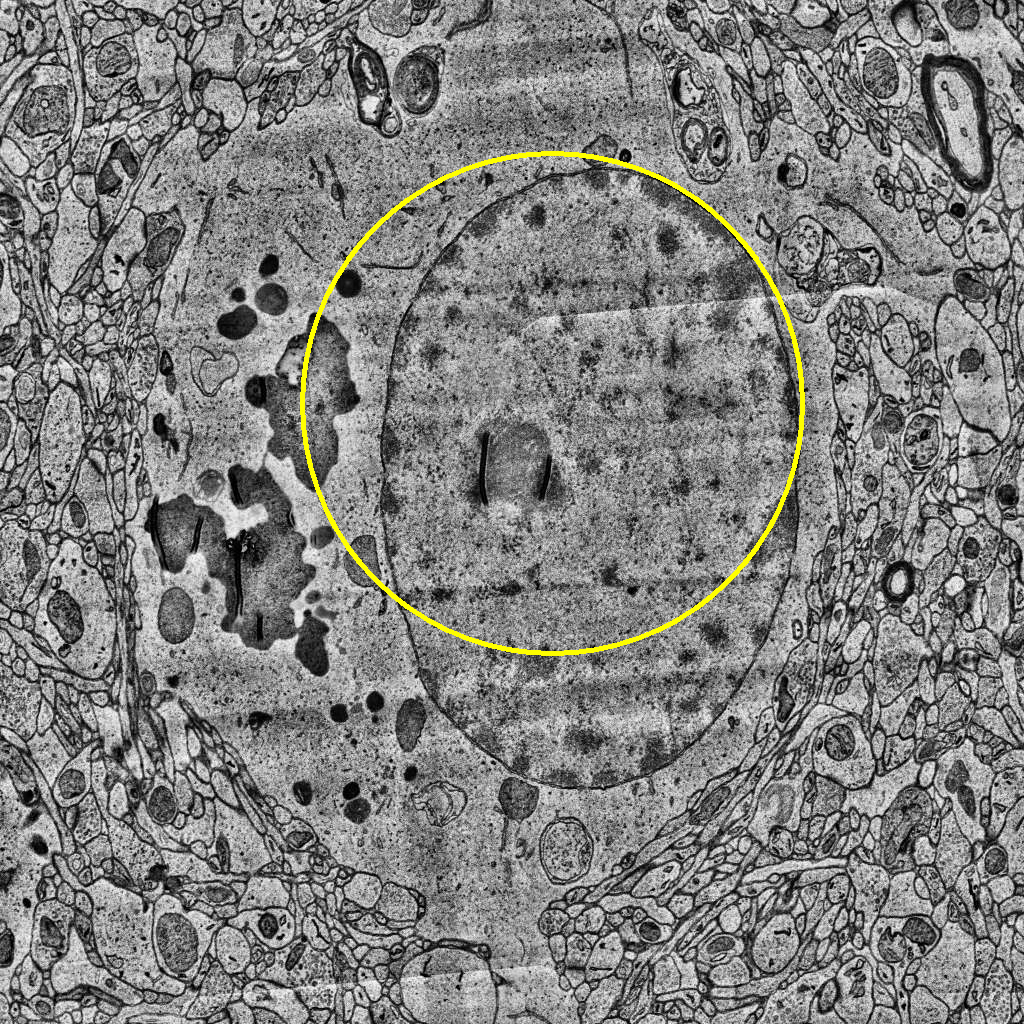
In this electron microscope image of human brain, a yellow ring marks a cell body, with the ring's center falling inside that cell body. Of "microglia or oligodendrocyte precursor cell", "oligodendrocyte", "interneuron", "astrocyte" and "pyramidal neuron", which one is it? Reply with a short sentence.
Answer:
It is an astrocyte at the center of the ring.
